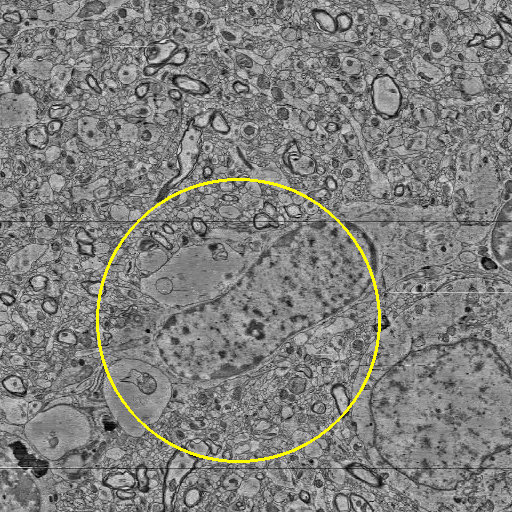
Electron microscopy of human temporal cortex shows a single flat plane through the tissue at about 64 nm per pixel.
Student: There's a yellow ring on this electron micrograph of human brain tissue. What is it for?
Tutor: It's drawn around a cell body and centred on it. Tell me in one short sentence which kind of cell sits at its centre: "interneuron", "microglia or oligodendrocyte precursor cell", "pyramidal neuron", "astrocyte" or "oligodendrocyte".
The cell at the centre of the ring is a microglial cell or oligodendrocyte precursor cell.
